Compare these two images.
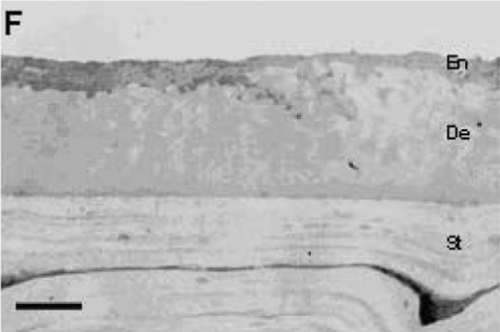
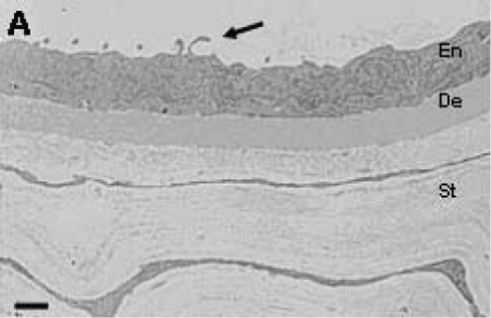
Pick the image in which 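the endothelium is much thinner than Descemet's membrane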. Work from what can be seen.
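First image: the dark top cell layer is a thin band far narrower than the pale layer beneath it. Second image: the top cell layer is a broad band at least as thick as the even grey layer beneath it. So: the first image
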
